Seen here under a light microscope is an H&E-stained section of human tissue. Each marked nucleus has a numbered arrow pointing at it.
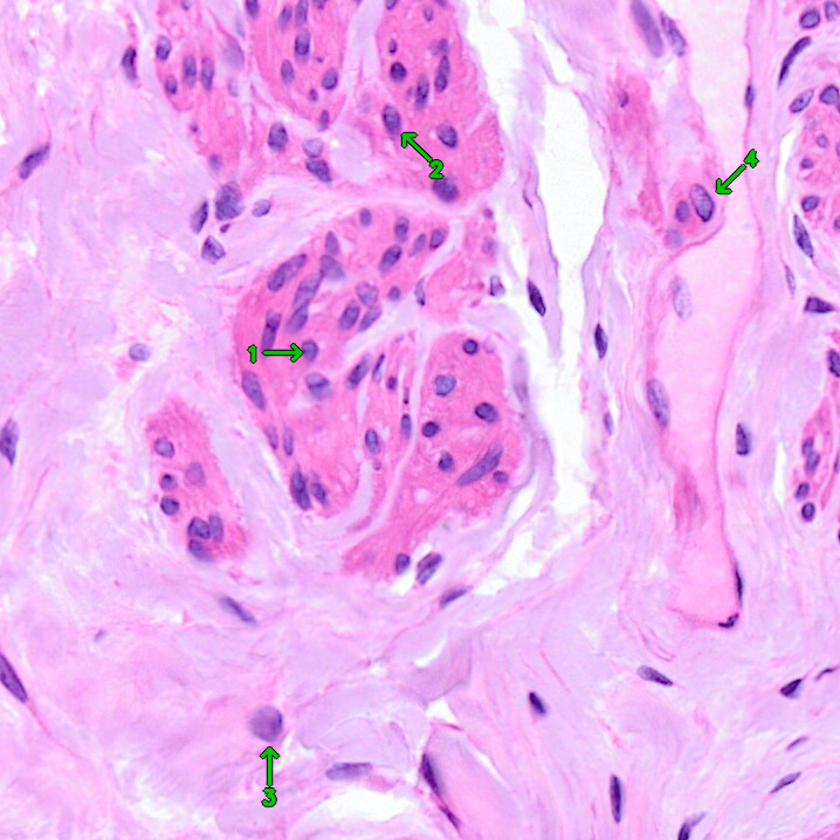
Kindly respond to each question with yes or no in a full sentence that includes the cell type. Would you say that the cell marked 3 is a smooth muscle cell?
No, calling cell 3 a smooth muscle cell is a mistake; it is a fibroblast.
